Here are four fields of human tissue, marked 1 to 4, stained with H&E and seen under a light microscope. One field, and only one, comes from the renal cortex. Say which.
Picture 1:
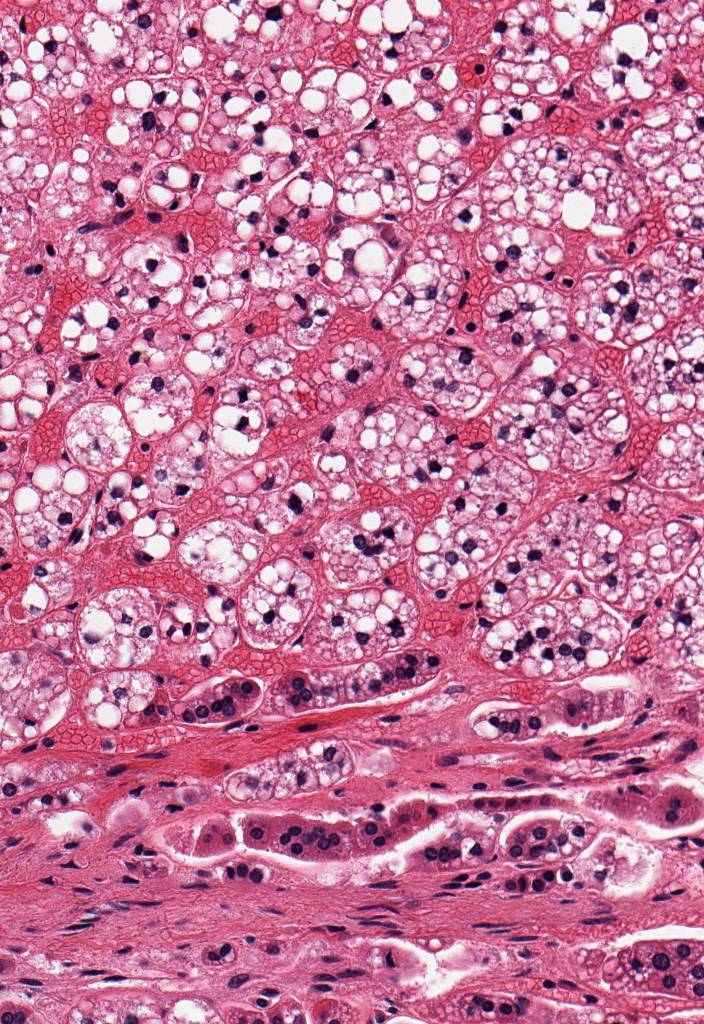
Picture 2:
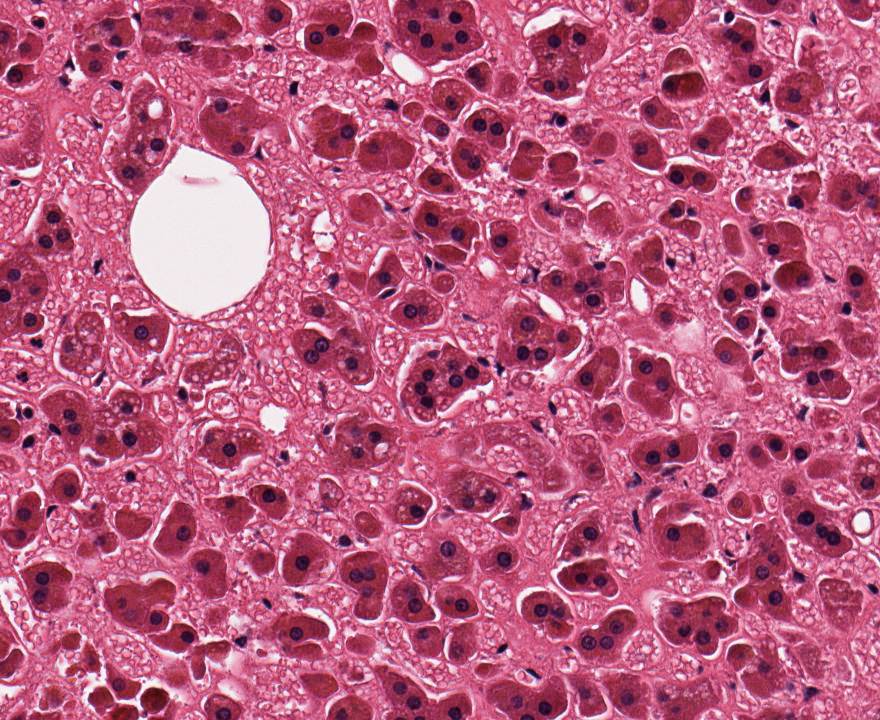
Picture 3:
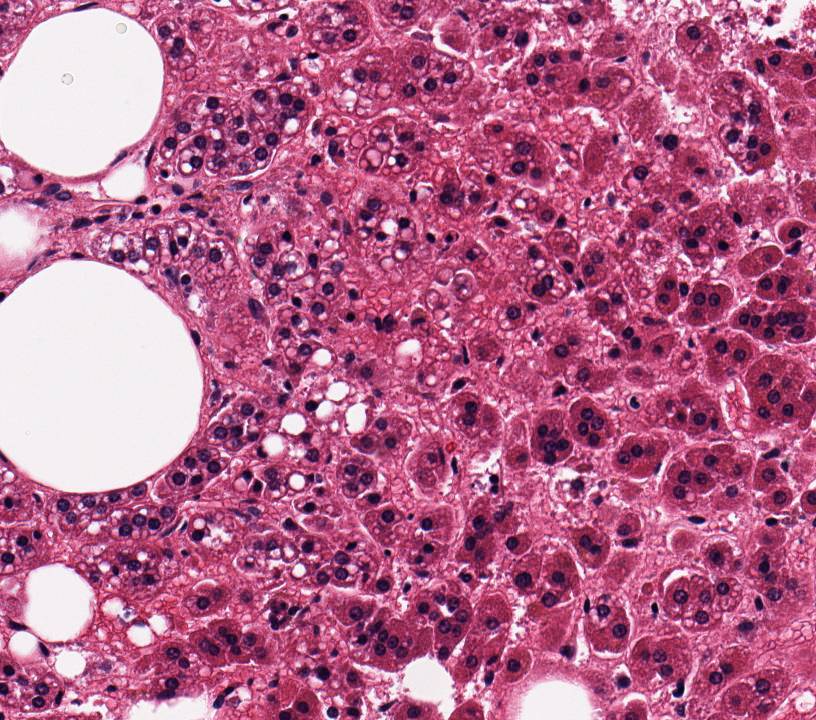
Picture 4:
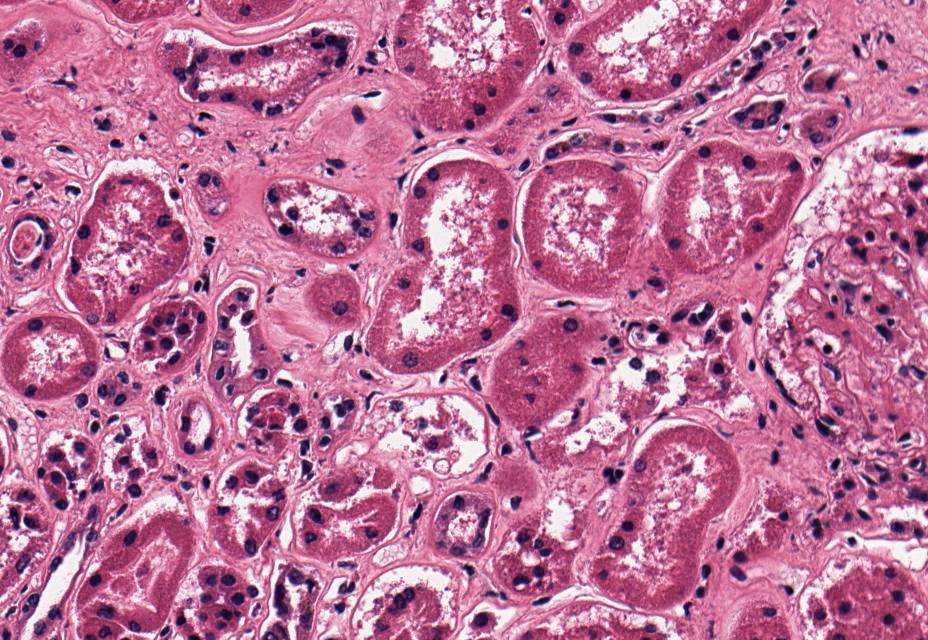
4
